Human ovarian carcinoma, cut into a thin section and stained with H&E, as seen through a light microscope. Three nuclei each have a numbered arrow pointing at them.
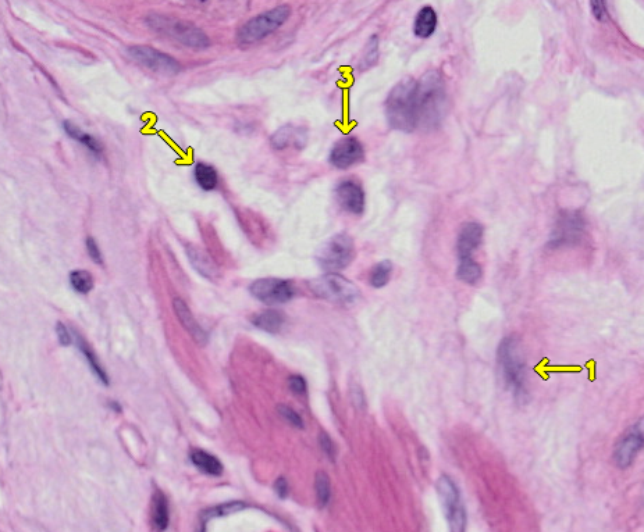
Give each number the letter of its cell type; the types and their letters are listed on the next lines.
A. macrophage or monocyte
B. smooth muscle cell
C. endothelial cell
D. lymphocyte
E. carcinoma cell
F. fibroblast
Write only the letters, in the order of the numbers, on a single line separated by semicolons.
F; D; A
